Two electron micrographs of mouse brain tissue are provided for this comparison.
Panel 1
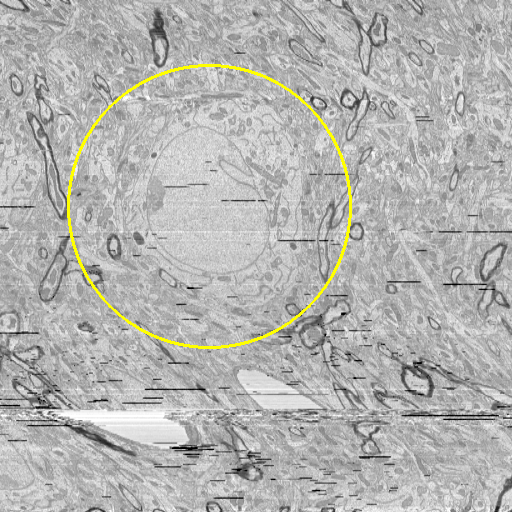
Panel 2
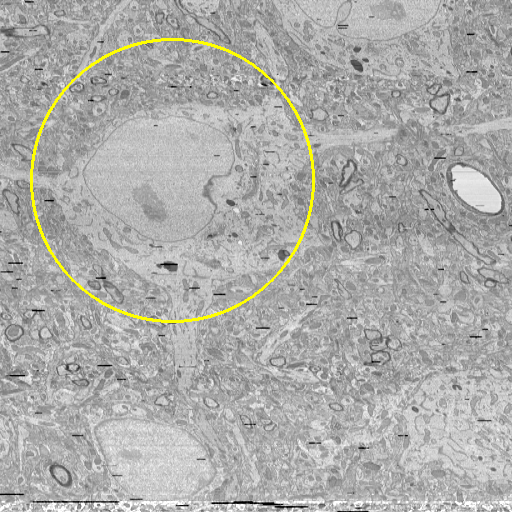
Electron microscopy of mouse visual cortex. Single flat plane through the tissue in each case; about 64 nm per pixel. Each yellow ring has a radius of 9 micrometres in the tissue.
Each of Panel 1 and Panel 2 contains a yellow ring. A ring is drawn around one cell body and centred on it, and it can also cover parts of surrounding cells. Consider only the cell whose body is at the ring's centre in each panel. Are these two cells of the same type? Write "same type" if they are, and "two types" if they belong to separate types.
same type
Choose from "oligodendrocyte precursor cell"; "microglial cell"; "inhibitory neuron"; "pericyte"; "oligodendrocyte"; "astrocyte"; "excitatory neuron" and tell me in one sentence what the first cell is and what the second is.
Each of the ringed cells, first and second, is an excitatory neuron.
